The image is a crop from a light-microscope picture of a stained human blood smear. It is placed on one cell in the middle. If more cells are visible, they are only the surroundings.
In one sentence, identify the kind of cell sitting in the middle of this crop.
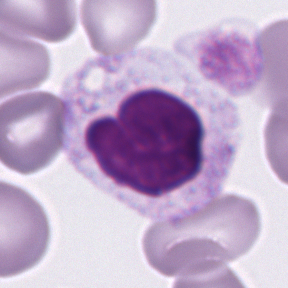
Among the cells in view, the one in the middle is a segmented neutrophil.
